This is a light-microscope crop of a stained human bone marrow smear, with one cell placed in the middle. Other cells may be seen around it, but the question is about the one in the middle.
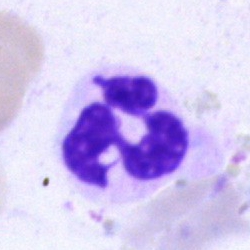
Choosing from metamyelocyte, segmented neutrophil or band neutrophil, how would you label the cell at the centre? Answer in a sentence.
In the middle of this smear crop, the cell is a segmented neutrophil.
